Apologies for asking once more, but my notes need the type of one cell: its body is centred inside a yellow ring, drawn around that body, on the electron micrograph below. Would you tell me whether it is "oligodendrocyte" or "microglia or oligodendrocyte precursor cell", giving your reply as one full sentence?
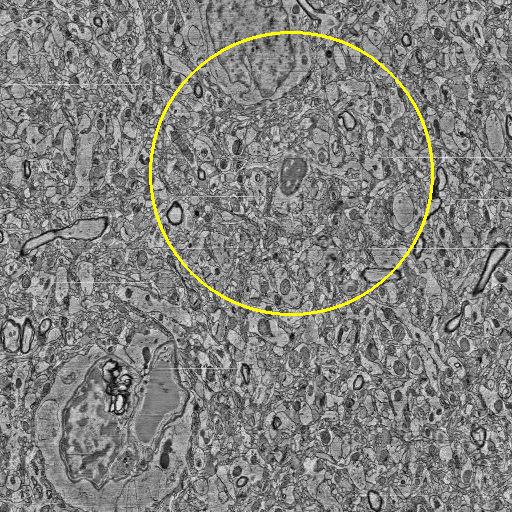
The cell that the yellow ring is centred on is a microglial cell or oligodendrocyte precursor cell in this micrograph.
